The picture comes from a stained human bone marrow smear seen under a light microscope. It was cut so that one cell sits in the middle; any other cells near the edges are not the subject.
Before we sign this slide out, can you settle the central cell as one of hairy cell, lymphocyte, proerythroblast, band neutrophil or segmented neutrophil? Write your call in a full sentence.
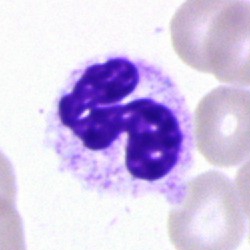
Classified as a segmented neutrophil is the cell in the middle of this crop.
